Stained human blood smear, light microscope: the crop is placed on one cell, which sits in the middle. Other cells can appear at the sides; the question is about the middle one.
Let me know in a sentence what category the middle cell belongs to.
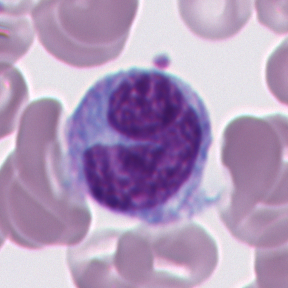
The center cell of this crop is a monocyte.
